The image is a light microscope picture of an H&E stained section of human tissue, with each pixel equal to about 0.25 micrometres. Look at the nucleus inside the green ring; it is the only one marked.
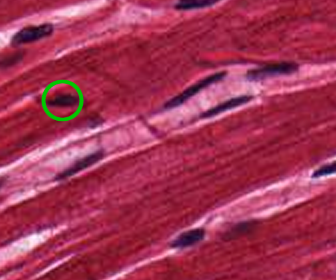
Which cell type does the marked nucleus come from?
cardiomyocyte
